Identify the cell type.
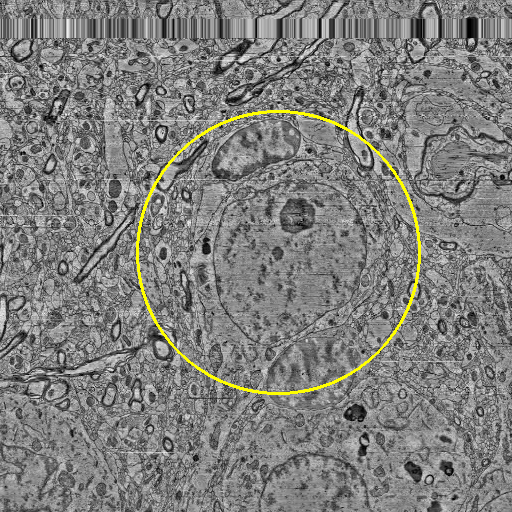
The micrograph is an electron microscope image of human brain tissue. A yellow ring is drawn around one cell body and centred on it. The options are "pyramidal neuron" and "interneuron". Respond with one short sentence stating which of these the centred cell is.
The cell body in the ring belongs to a pyramidal neuron.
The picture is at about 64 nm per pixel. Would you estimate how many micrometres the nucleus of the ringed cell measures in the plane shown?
In this plane, approximately 11 by 10 micrometers.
